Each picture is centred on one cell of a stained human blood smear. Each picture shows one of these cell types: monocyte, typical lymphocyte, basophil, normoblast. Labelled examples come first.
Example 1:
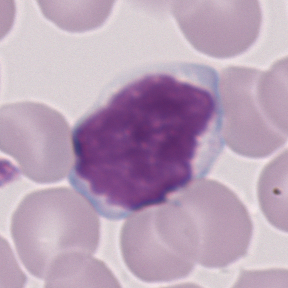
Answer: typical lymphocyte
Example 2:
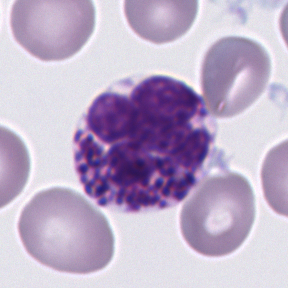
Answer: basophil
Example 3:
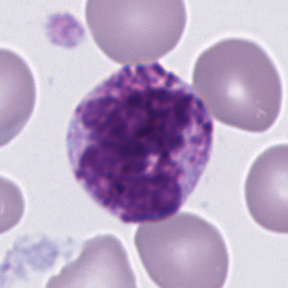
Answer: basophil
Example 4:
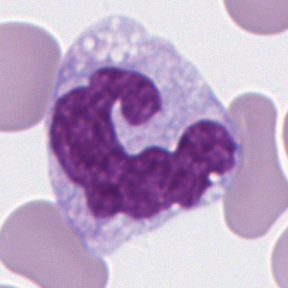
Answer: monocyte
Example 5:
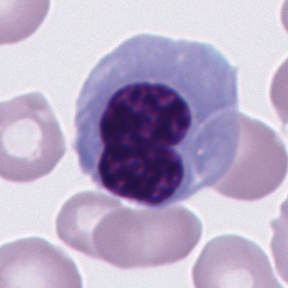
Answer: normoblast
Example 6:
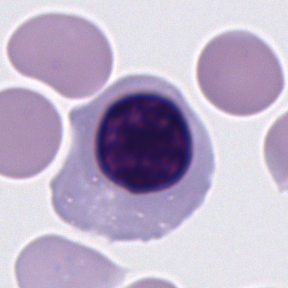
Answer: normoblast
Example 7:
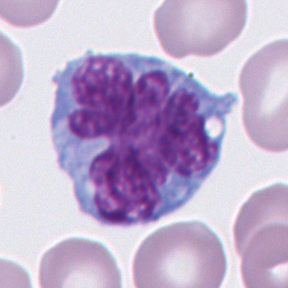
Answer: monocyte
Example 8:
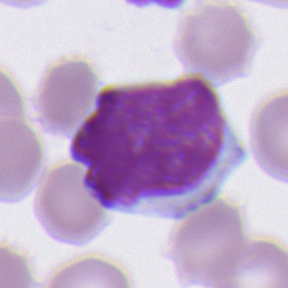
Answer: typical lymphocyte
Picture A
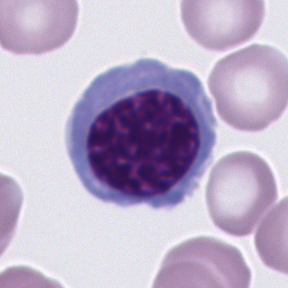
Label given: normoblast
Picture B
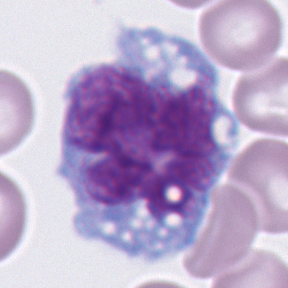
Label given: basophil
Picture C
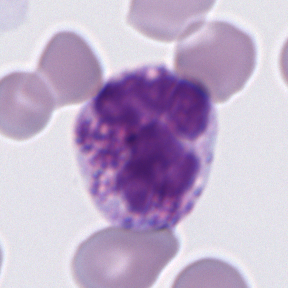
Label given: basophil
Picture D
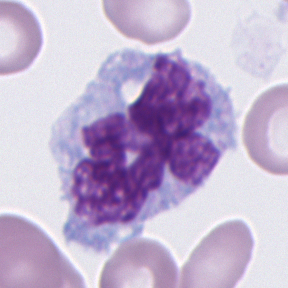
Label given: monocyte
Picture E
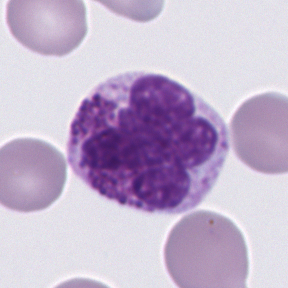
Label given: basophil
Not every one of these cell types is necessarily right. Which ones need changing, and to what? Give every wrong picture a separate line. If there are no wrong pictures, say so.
B: monocyte, not basophil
